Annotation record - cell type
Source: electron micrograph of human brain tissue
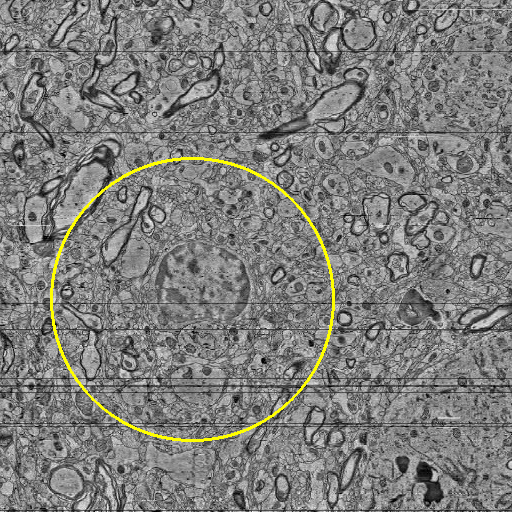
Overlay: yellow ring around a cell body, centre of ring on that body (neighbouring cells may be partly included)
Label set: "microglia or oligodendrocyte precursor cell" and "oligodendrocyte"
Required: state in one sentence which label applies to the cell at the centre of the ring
This cell should be labelled as an oligodendrocyte.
